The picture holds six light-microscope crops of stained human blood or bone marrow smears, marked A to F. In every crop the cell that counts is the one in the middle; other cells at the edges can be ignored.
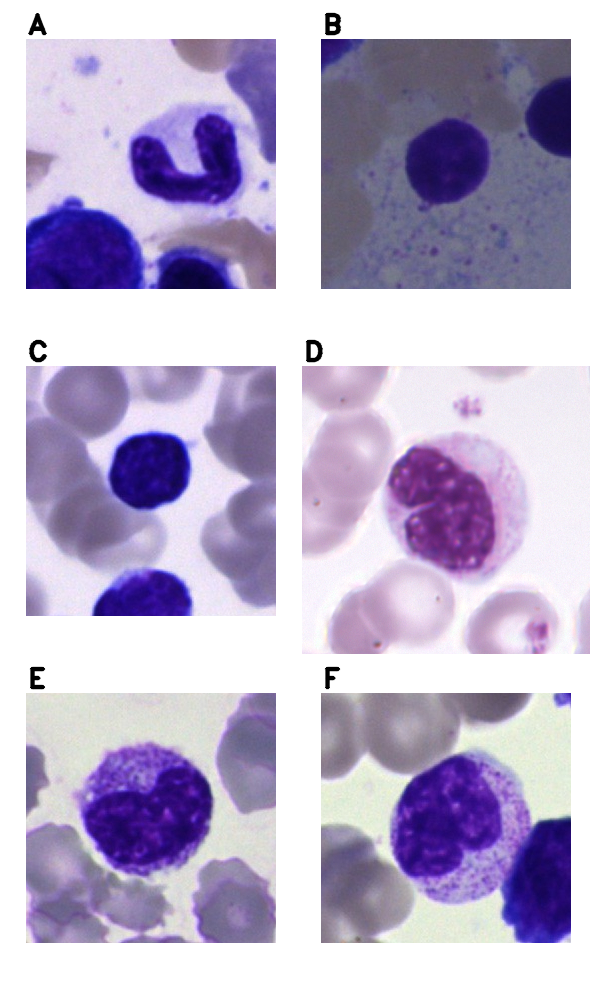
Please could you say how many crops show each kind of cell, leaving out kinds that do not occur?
band neutrophil: 2
lymphocyte: 2
metamyelocyte: 2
